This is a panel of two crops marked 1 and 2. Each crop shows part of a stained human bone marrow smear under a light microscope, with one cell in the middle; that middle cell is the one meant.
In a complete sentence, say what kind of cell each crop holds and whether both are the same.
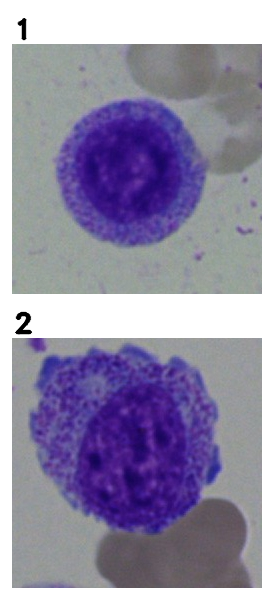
Yes, both crops feature myelocytes at the centre.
